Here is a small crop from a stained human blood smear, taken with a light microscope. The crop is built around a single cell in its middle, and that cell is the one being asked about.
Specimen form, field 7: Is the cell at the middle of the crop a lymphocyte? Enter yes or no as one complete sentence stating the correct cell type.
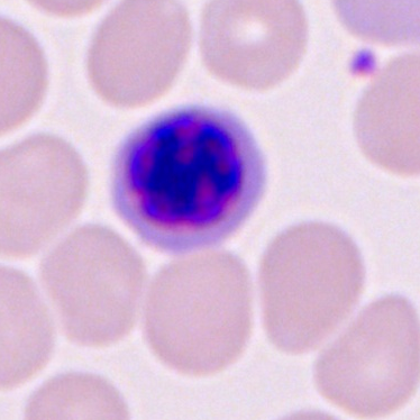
No, it is an erythroblast, not a lymphocyte, that lies at the centre of the crop.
